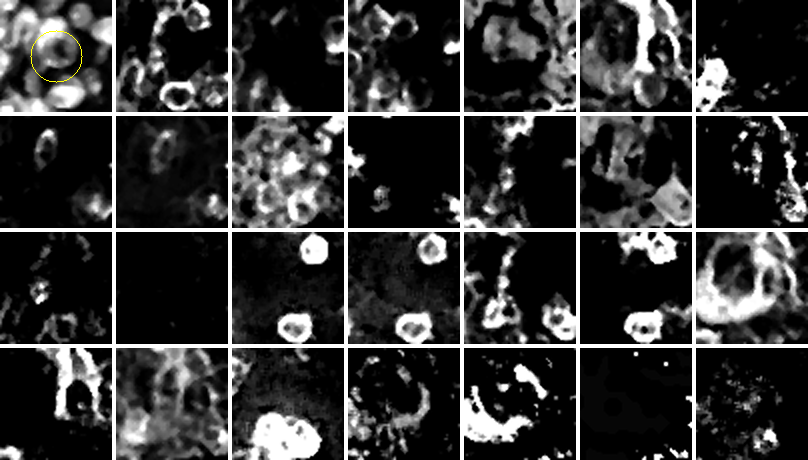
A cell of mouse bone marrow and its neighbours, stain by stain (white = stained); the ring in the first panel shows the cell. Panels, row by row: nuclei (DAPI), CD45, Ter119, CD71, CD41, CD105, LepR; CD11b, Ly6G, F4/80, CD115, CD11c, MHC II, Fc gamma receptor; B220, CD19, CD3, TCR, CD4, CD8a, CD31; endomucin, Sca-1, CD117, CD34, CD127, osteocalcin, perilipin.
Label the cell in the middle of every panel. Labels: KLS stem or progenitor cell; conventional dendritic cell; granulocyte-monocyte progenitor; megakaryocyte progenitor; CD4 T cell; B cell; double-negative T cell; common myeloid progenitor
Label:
KLS stem or progenitor cell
